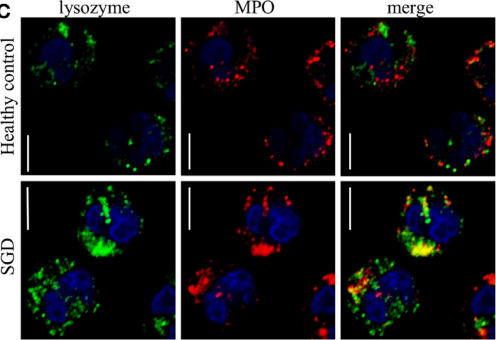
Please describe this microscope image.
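These are neutrophils with blue, lobed or irregular nuclei and cytoplasm dotted with small green and red granules. In the upper row the green and red dots lie apart from each other, scattered around the nuclei. In the lower row the granules gather in dense clusters to one side of the nucleus, where green and red overlap to give yellow in the merged image.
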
